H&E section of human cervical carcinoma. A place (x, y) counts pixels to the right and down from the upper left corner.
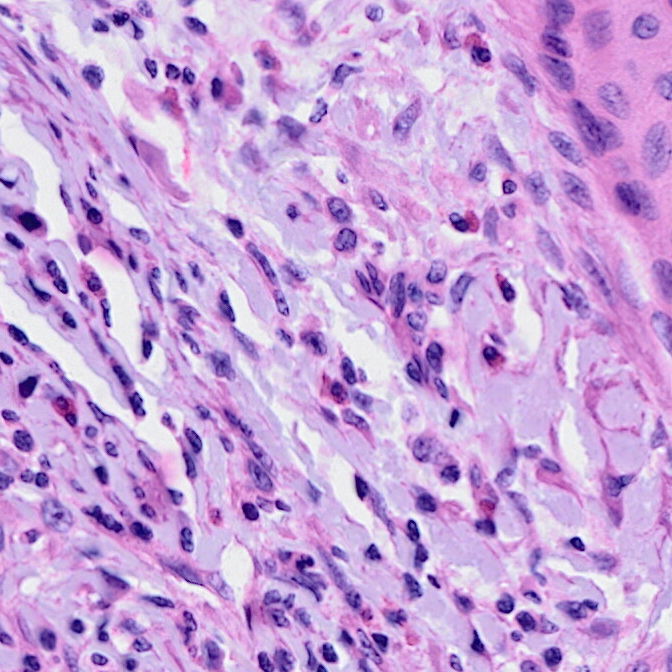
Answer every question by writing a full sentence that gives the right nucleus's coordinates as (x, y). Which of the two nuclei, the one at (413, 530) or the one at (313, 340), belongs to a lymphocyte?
The nucleus positioned at (413, 530) forms part of a lymphocyte.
